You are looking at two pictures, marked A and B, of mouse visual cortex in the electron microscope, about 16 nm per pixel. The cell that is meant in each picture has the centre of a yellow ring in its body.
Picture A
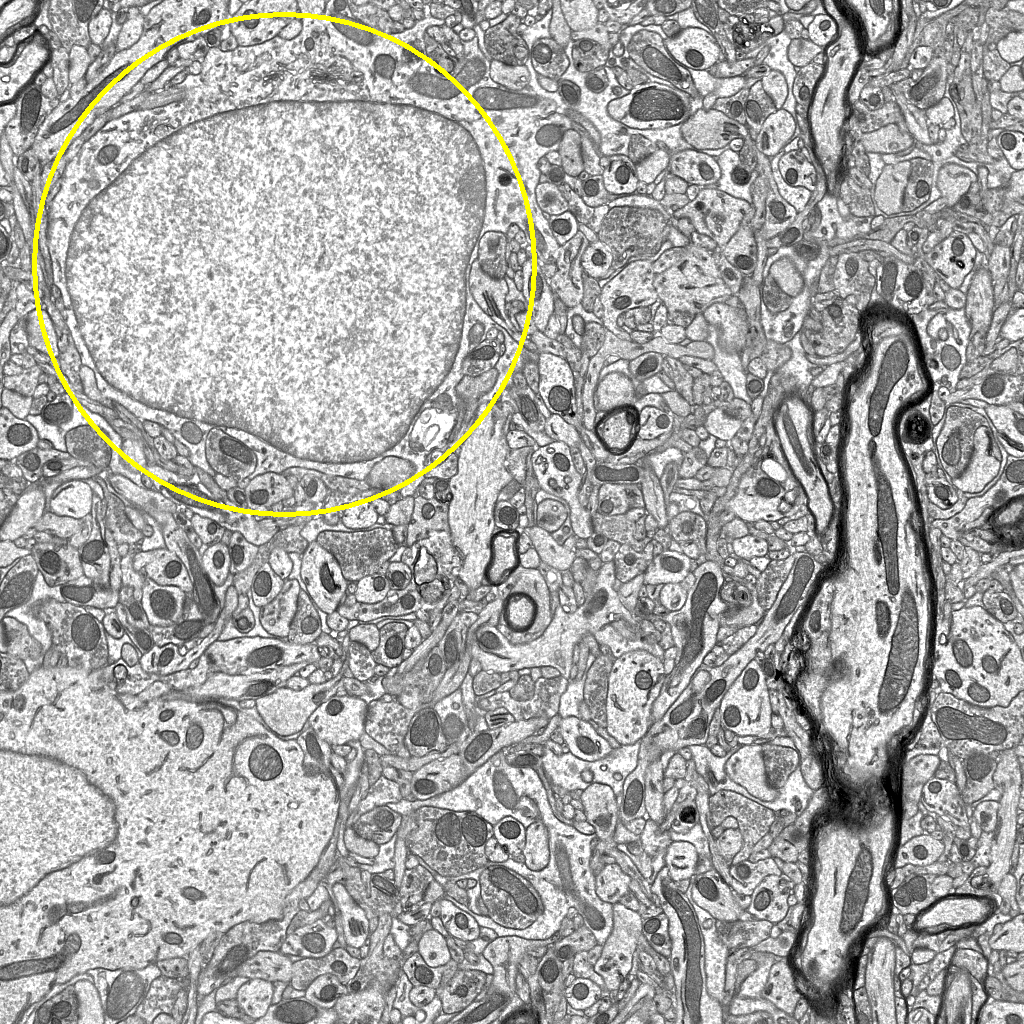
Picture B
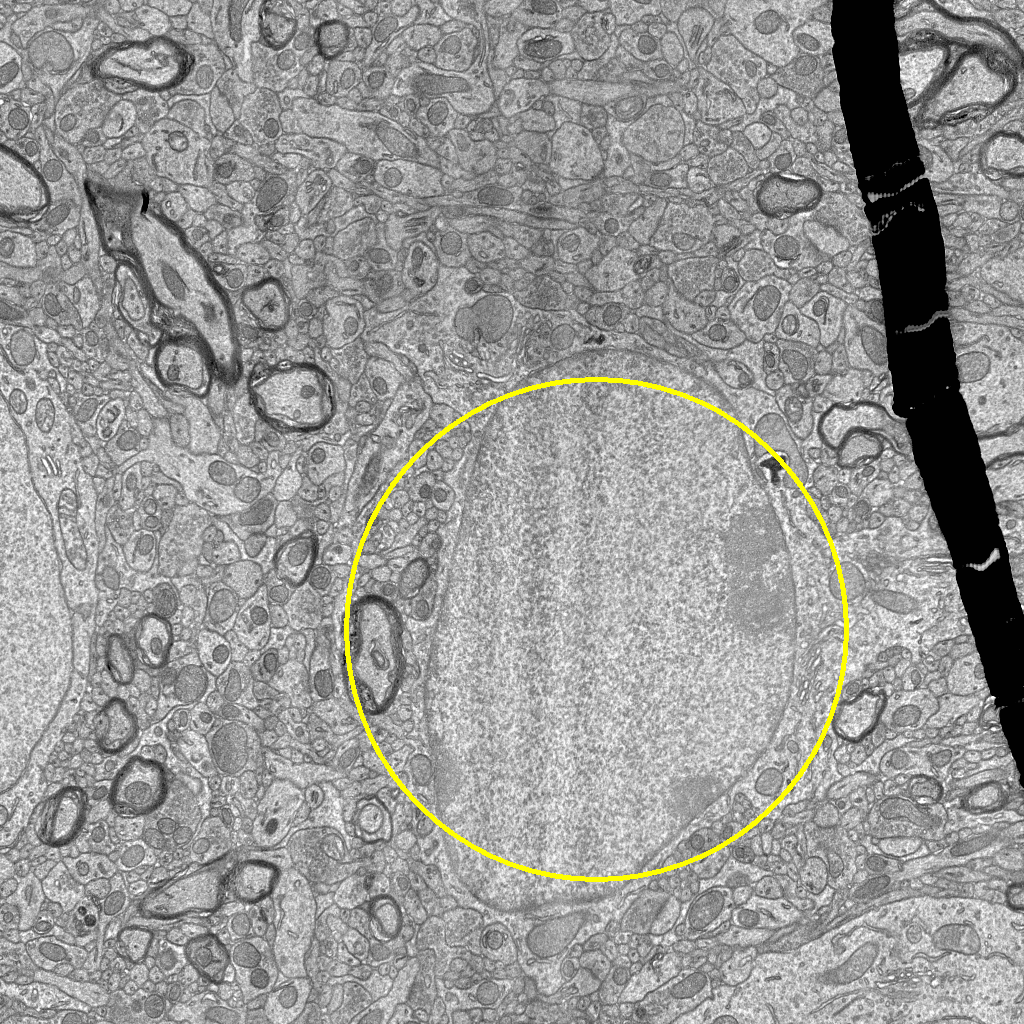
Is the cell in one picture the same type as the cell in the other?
Yes, the two pictures both show astrocytes.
